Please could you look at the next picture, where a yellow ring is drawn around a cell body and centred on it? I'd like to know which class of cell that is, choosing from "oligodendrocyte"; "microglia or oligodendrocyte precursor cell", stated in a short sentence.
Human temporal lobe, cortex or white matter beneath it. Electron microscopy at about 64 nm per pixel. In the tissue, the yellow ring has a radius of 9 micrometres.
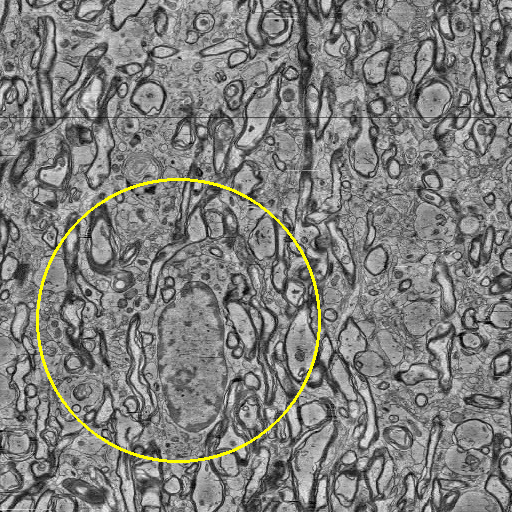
The ring's centre lies on a microglial cell or oligodendrocyte precursor cell.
